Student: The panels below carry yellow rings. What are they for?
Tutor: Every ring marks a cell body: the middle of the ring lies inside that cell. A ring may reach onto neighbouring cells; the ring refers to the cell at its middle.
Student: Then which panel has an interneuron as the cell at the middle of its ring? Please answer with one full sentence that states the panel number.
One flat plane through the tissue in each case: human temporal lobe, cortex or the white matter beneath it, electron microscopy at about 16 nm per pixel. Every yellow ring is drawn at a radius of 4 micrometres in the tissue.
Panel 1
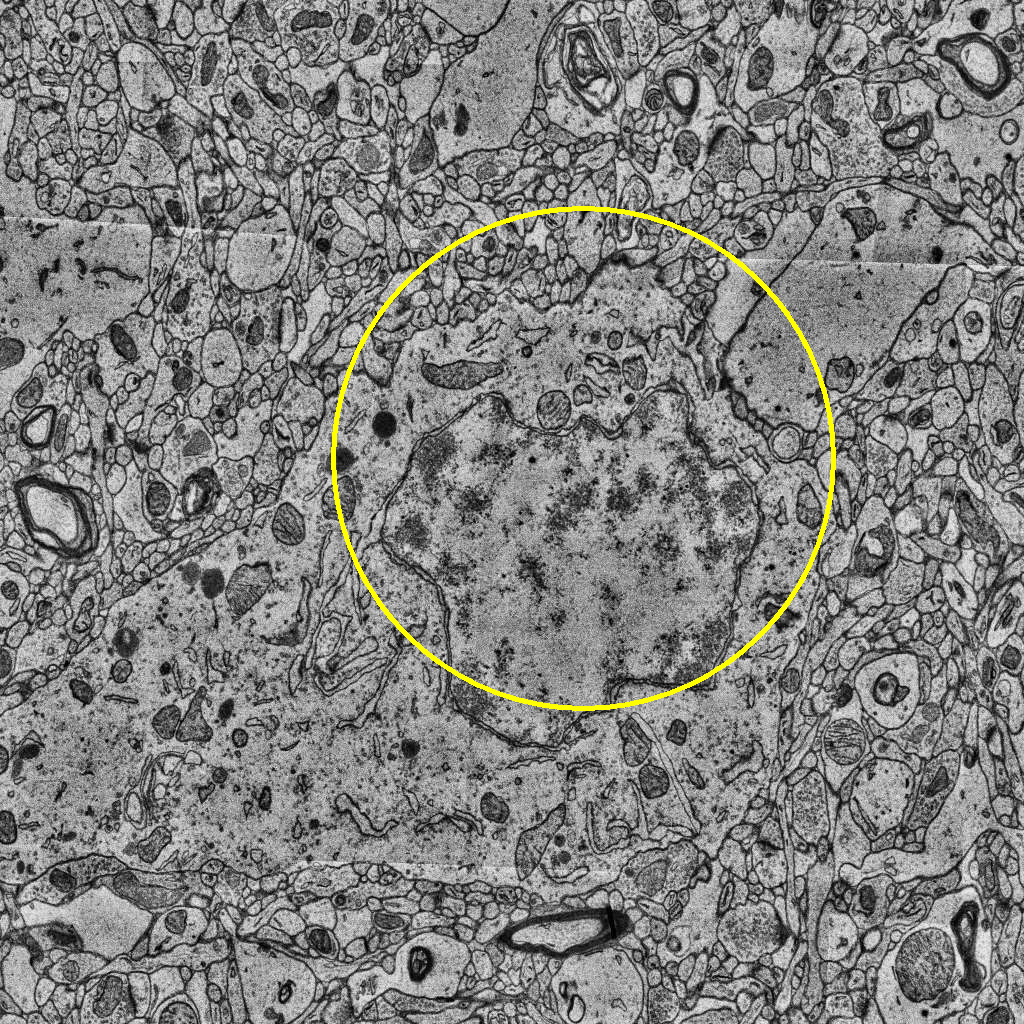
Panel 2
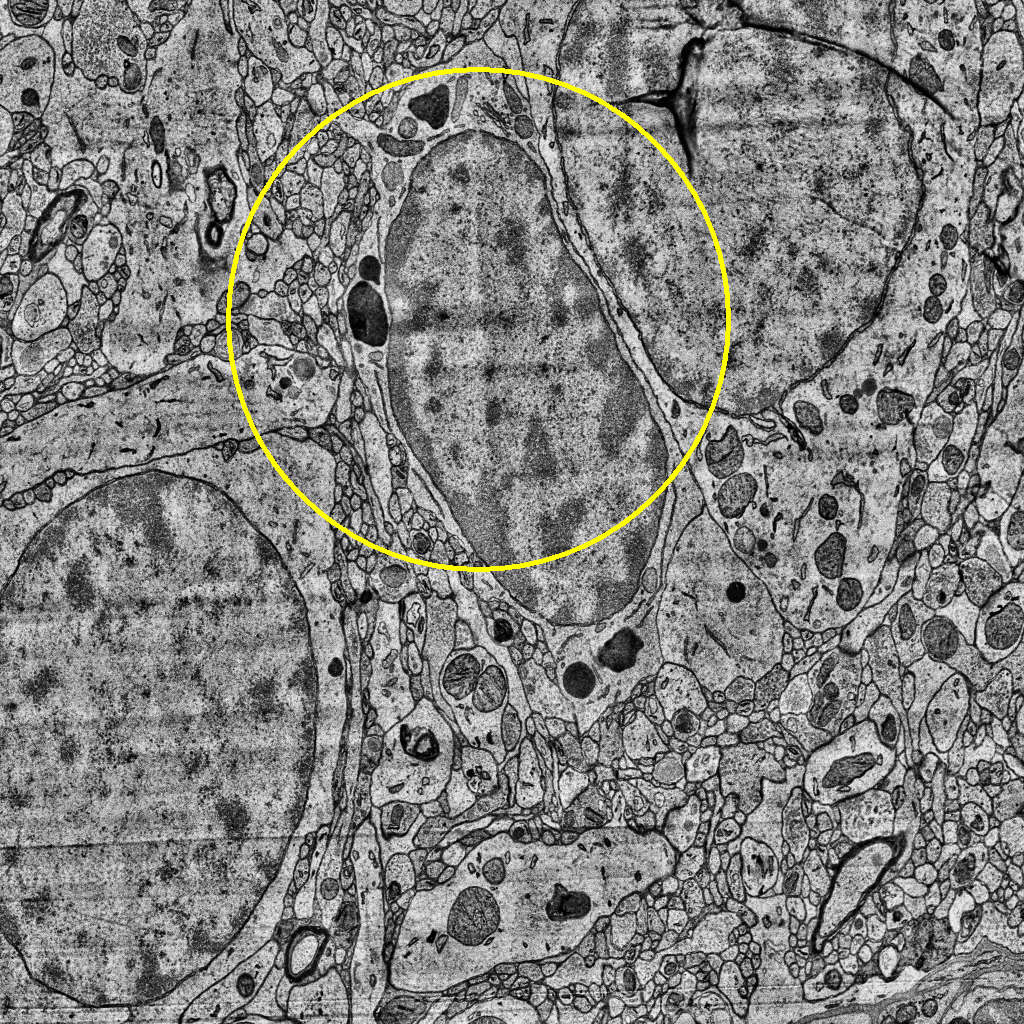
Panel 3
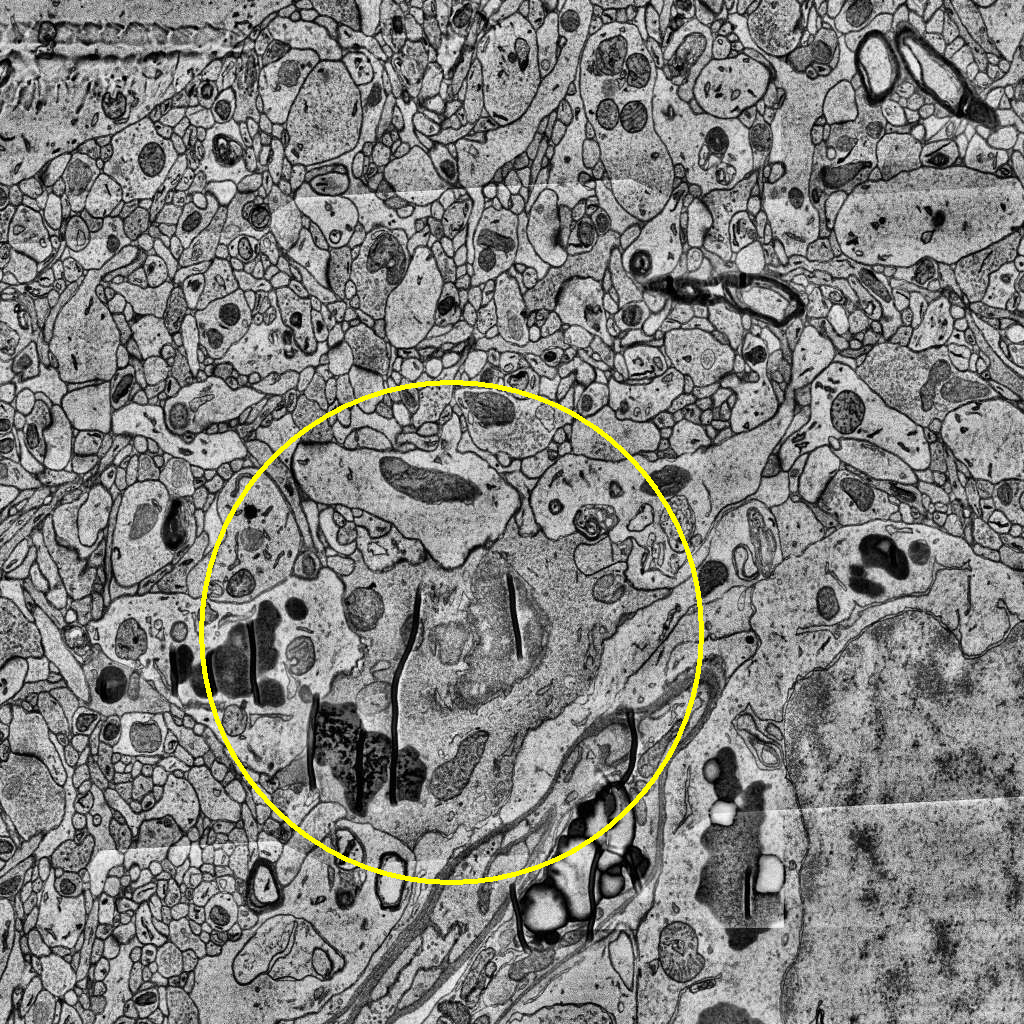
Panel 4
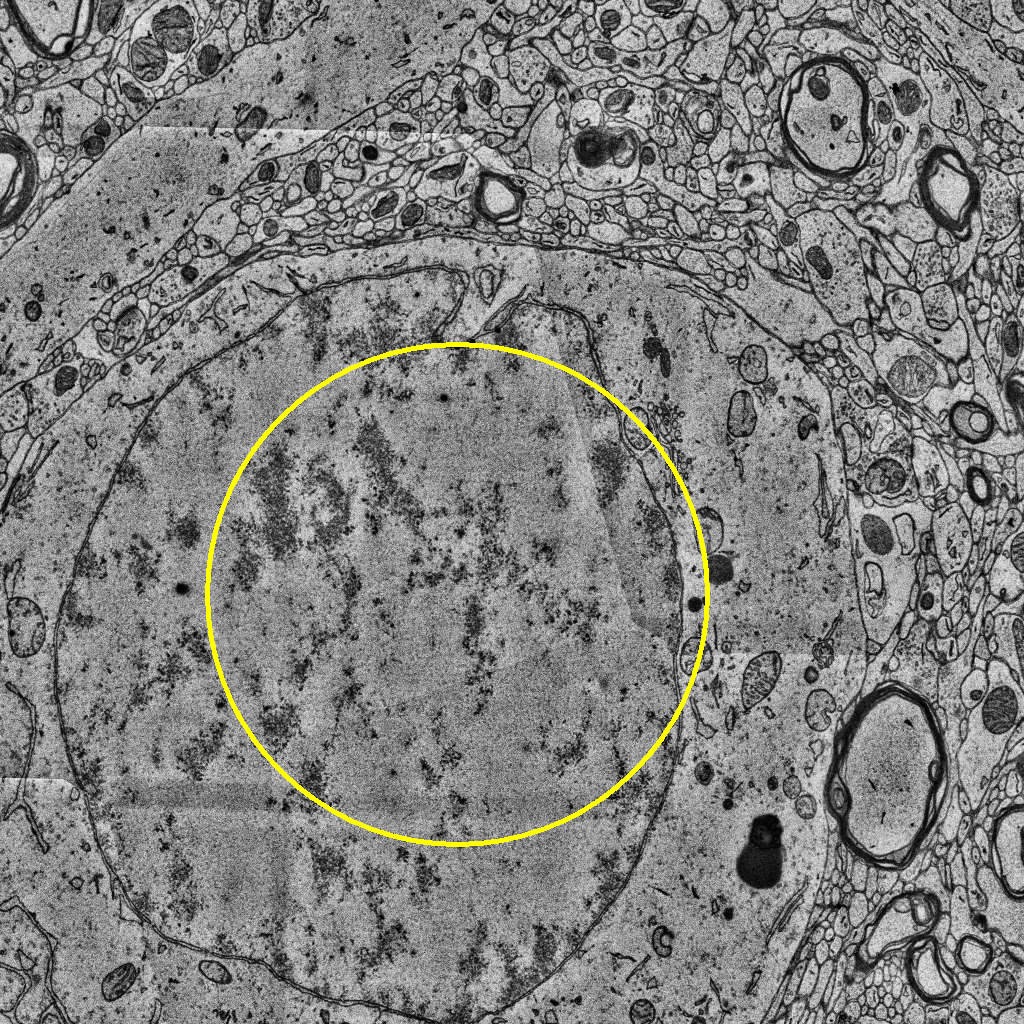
In Panel 1, the middle of the ring lies inside the cell body that is sought.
